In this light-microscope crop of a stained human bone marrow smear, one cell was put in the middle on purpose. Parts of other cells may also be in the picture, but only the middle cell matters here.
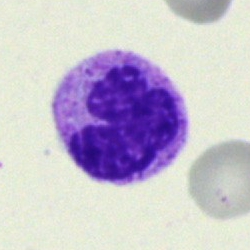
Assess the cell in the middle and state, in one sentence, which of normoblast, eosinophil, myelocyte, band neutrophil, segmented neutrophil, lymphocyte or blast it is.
At the center of the crop sits a band neutrophil.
